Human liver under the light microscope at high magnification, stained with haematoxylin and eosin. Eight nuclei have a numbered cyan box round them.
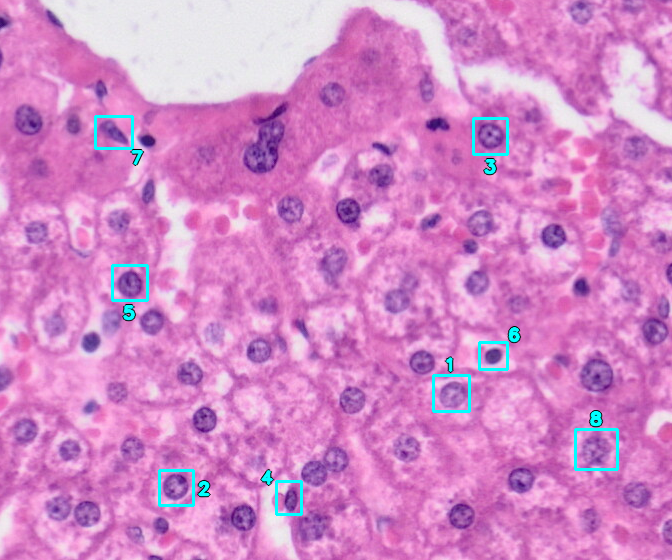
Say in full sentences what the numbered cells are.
Cells 1, 2, 3, 5 and 8 are hepatocytes. Cell 4 is a Kupffer cell. Cell 6 is a lymphocyte. Cell 7 is a fibroblast or stellate cell.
